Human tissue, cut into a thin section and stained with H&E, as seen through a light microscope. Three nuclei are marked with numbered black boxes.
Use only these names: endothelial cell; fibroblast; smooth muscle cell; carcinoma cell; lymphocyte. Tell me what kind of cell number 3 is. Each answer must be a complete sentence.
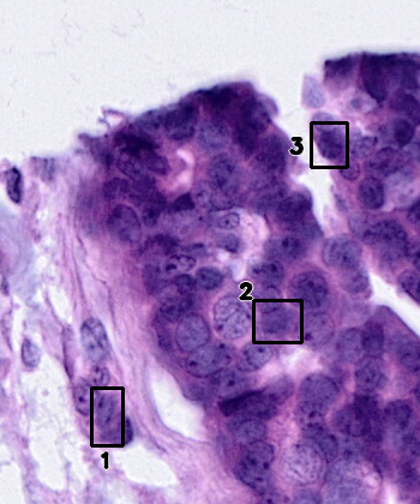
Corresponding to a carcinoma cell is the cell labelled 3.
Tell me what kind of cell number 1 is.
Nucleus 1 in this section belongs to an endothelial cell.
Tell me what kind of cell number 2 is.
In the tissue shown, cell 2 is a carcinoma cell.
